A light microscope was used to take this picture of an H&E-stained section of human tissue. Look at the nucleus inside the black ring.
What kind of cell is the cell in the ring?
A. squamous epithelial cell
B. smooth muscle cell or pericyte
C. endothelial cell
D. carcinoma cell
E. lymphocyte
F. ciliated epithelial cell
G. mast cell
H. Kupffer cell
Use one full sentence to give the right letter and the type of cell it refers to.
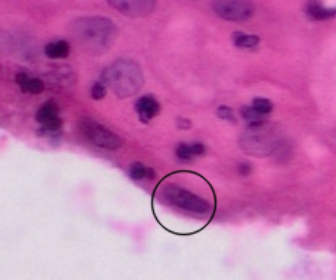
Answer with option A; the cell in the ring is a squamous epithelial cell.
